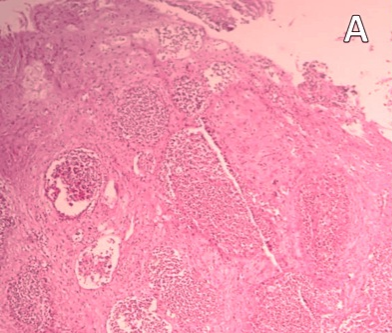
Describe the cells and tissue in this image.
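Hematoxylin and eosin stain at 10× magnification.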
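This is a section of skin showing pseudoepitheliomatous hyperplasia with intraepidermal neutrophilic abscesses and a dense inflammatory infiltrate. The pink squamous epithelium extends downward as broad, irregular nests and islands rather than as a flat layer. Several of these nests hold rounded collections of small dark purple cells, some lying in cleared spaces.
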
